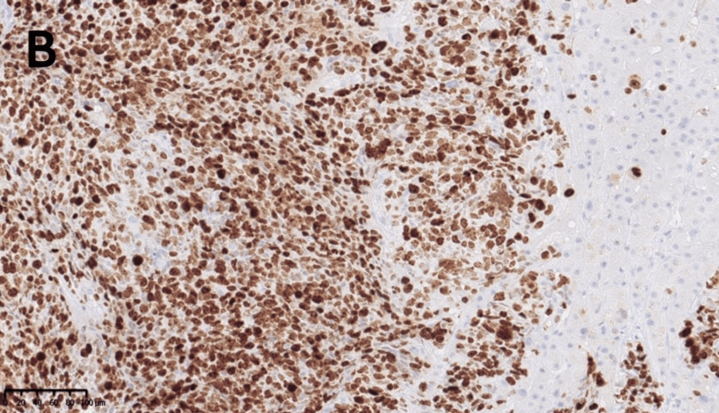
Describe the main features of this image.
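A dense neoplastic infiltrate fills the left and centre of the field, in which nearly all nuclei are stained brown. On the right lie pale polygonal liver cells with small blue, unstained nuclei, with a few brown-stained tumour cell clusters at the lower right edge.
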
